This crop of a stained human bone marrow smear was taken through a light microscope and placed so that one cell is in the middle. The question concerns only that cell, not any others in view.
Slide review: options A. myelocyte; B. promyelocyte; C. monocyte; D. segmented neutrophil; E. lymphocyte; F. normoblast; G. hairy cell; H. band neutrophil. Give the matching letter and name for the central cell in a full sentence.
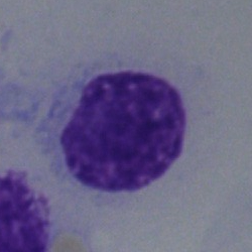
Since the cell in the centre is a hairy cell, the correct option is G.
